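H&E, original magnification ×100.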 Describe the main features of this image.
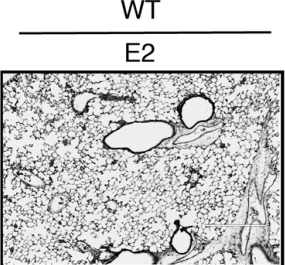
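Lung parenchyma made of a delicate network of thin-walled, open air spaces, mostly pale and clear. A few larger airways and blood vessels with thicker walls are cut in cross-section, and the tissue between them stays loose and airy.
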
